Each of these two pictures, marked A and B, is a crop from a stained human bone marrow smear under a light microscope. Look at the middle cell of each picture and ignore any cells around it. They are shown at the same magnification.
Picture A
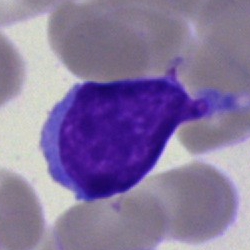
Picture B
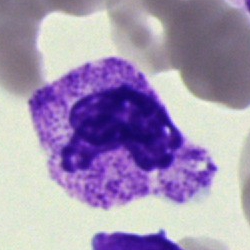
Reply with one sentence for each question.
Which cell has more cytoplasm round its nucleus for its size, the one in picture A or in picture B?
In picture B the nucleus takes up the smaller part of its cell.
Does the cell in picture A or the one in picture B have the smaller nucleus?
Smaller is the nucleus in picture B, and the other is about 1.5 times as large in area.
